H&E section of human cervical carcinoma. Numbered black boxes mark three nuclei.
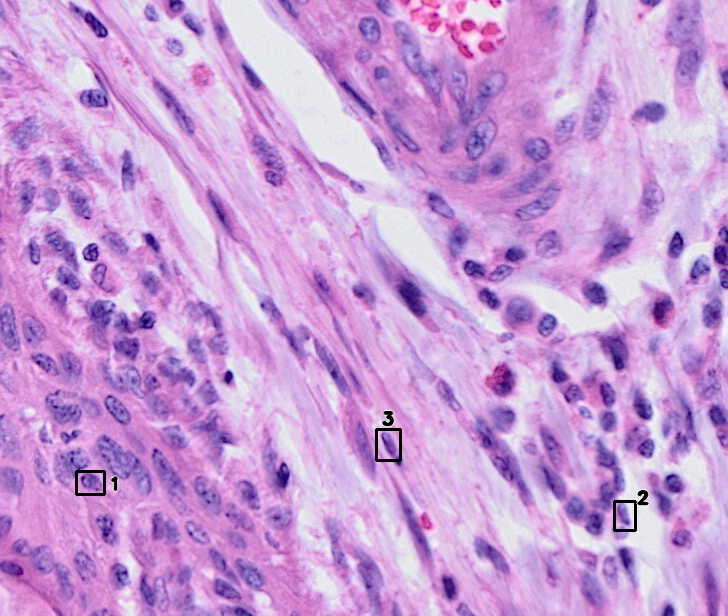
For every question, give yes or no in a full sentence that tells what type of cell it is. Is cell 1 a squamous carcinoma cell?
Yes, the marked cell numbered 1 is a squamous carcinoma cell.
